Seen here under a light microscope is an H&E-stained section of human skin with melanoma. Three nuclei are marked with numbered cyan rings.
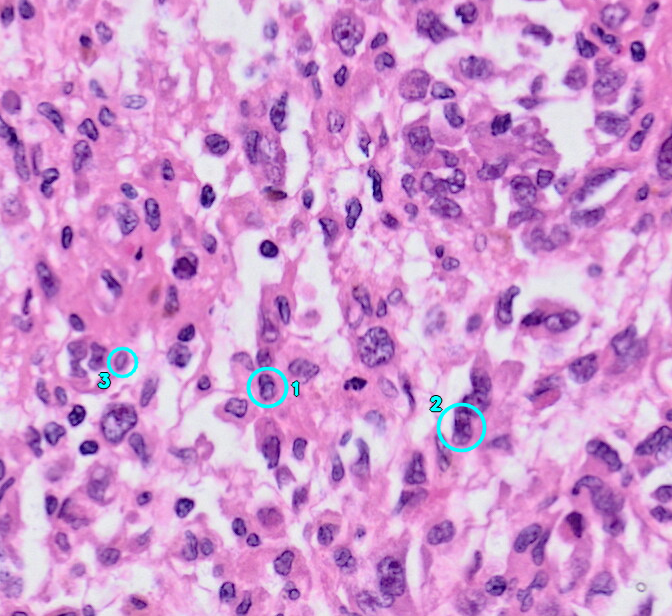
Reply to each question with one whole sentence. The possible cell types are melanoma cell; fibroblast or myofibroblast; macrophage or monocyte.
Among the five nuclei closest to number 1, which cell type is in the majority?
Of the five nuclei nearest to number 1, most belong to macrophages or monocytes.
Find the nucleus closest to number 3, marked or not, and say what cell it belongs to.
The nearest nucleus to number 3 belongs to a melanoma cell.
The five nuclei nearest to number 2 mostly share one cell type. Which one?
Around number 2, most of the five nearest nuclei are those of melanoma cells.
